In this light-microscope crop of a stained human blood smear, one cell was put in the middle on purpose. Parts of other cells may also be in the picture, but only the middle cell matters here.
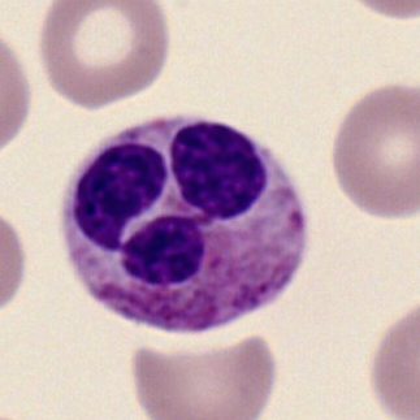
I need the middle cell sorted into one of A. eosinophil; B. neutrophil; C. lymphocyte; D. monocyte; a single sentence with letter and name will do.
The one to choose is option A, as the cell in the middle is an eosinophil.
